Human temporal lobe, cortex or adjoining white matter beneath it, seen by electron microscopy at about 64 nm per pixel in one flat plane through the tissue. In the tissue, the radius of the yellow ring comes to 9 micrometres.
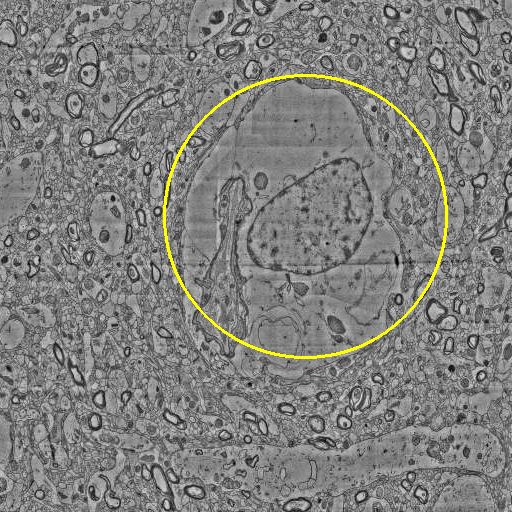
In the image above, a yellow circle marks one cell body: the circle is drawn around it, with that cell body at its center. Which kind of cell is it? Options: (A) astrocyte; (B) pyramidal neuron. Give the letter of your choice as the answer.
A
